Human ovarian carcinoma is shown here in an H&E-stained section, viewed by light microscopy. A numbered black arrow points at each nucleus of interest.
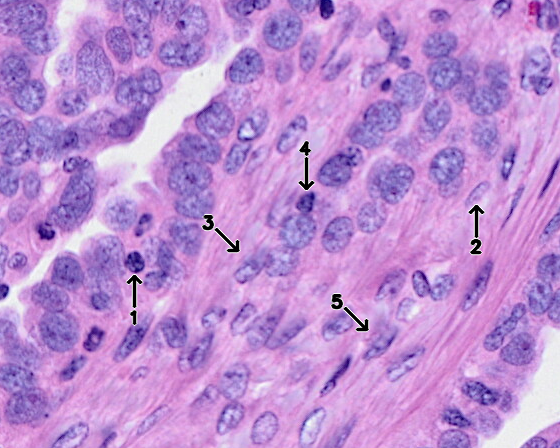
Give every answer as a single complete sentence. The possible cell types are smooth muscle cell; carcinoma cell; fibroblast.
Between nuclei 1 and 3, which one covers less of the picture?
Nucleus 1 is the smaller one; nucleus 3 covers about 2 times its area.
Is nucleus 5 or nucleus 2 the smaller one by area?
Number 2 is smaller, since number 5 takes up about 2 times as much area.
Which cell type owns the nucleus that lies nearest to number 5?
Closest to number 5 lies the nucleus of a fibroblast.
